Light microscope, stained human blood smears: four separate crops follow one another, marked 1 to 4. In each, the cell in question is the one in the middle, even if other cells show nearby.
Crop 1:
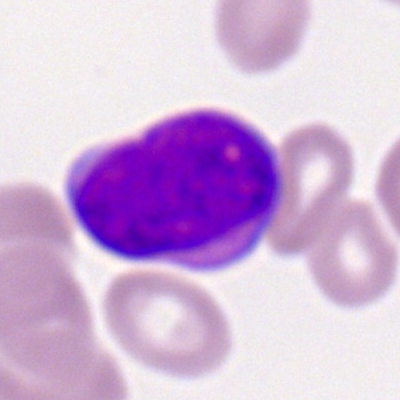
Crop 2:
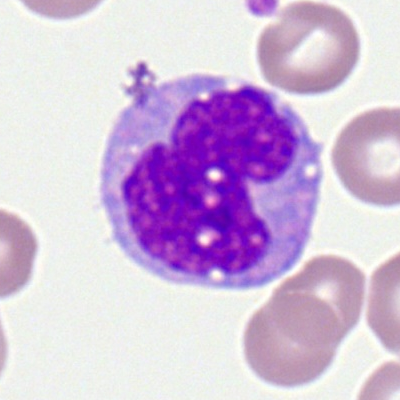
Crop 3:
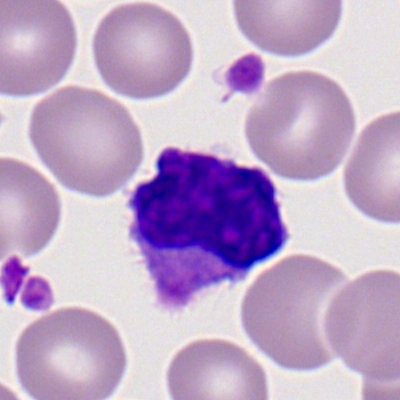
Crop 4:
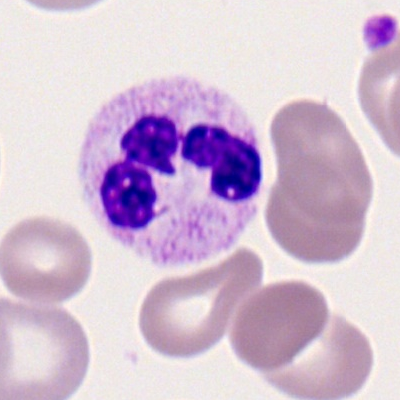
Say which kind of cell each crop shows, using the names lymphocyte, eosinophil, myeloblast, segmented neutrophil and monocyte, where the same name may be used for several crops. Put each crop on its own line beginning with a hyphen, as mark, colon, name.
- 1: myeloblast
- 2: monocyte
- 3: lymphocyte
- 4: segmented neutrophil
